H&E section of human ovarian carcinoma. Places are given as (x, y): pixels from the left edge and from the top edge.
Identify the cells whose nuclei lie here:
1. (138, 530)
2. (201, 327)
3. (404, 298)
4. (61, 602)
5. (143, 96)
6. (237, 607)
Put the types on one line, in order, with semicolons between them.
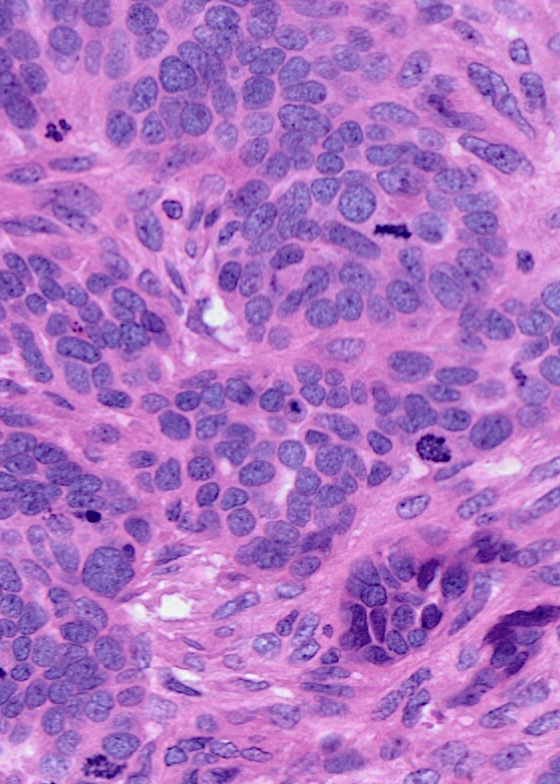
carcinoma cell; fibroblast; carcinoma cell; carcinoma cell; carcinoma cell; fibroblast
